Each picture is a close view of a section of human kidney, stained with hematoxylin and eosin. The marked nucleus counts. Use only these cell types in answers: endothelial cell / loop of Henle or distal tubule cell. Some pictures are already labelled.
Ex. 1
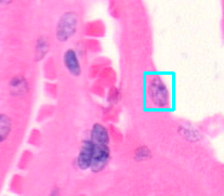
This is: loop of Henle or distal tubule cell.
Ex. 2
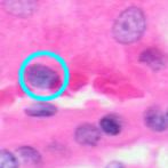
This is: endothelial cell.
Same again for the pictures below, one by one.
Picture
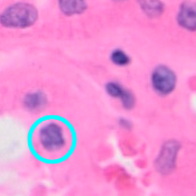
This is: loop of Henle or distal tubule cell.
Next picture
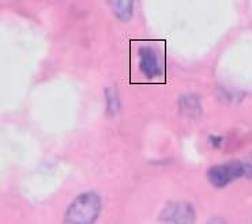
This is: loop of Henle or distal tubule cell.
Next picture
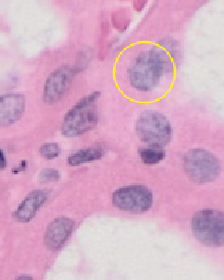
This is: loop of Henle or distal tubule cell.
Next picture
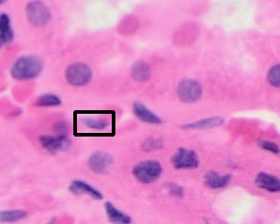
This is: endothelial cell.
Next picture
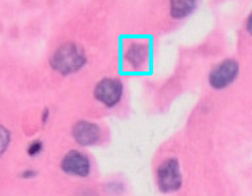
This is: loop of Henle or distal tubule cell.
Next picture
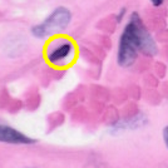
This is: endothelial cell.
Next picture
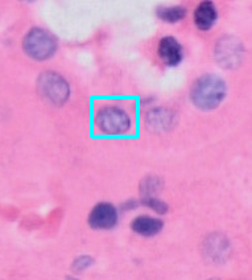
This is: loop of Henle or distal tubule cell.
